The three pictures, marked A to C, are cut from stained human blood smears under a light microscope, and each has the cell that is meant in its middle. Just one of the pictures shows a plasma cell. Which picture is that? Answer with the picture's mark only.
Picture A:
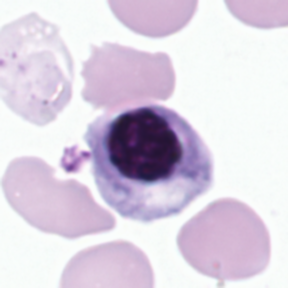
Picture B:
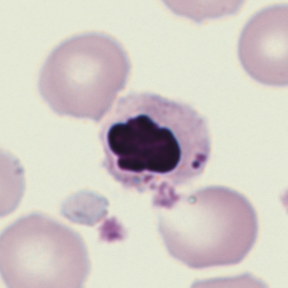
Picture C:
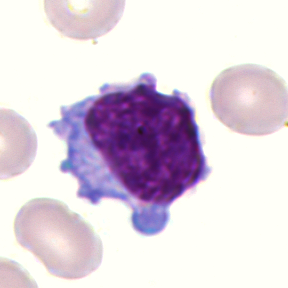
C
